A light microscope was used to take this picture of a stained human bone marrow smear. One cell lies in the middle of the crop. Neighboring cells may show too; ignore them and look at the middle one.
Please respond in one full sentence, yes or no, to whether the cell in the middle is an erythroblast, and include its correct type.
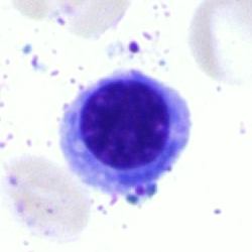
Yes, the cell in the centre is an erythroblast.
